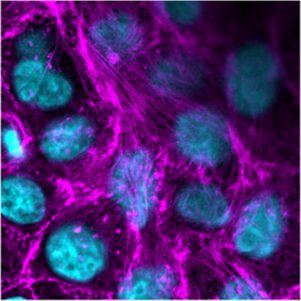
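A confluent layer of epithelial cells is seen at its basal level, each with one oval cyan nucleus showing a speckled texture. Magenta fibres mark the cell borders as bright, somewhat irregular lines. Across the middle of several cells, long thin magenta filaments run roughly in parallel, partly crossing over the nuclei. These bundles do not share one common direction across the whole field but vary from cell to cell.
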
